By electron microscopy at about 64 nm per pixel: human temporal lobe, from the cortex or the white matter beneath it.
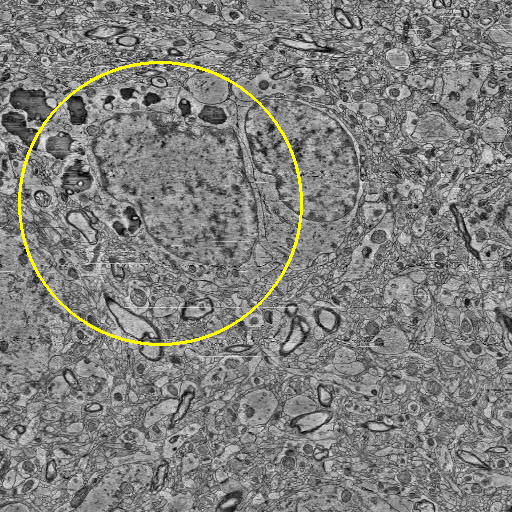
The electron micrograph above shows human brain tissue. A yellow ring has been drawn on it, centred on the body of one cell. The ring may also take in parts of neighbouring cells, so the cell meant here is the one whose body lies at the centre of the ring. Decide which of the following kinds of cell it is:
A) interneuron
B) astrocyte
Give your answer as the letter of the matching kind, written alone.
A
